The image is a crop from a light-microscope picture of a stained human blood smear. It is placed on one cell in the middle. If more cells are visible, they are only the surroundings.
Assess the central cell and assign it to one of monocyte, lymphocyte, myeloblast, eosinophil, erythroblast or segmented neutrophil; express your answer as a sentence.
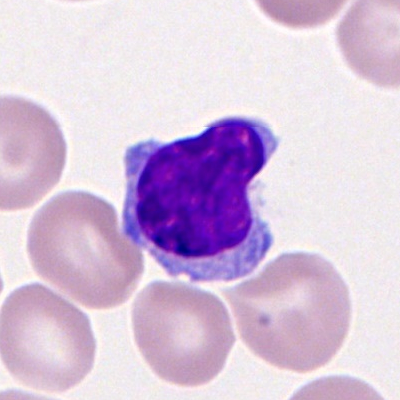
For this crop, the cell in the middle is a lymphocyte.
